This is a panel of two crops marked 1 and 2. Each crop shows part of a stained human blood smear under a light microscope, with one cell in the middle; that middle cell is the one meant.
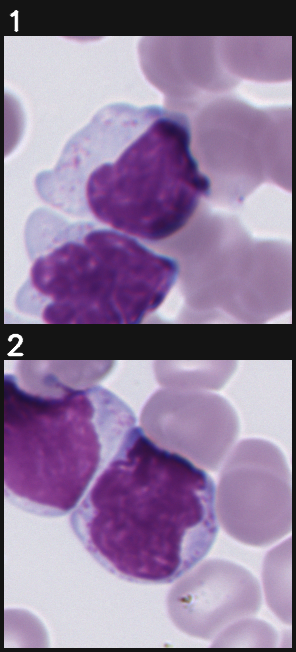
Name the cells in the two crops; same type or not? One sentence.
Yes, large granular lymphocytes are the cells shown in both crops.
